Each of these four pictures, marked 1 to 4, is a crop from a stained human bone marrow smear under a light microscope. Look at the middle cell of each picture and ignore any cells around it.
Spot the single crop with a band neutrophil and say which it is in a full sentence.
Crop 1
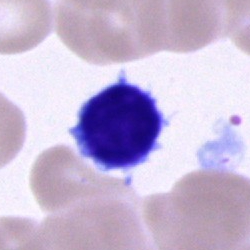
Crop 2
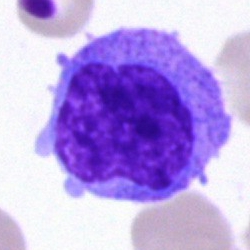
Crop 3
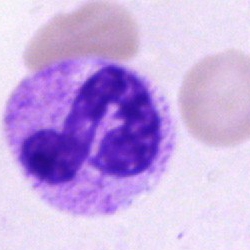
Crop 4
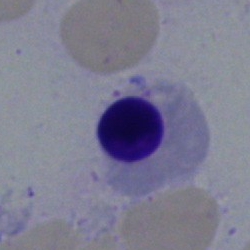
It is crop 3, not any other, that shows a band neutrophil.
